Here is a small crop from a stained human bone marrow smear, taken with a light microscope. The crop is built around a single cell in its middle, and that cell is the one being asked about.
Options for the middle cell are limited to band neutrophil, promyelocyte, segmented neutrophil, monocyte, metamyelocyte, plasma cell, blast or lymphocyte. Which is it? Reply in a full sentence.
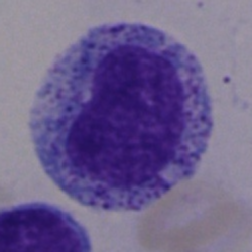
This particular crop is centered on a promyelocyte.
